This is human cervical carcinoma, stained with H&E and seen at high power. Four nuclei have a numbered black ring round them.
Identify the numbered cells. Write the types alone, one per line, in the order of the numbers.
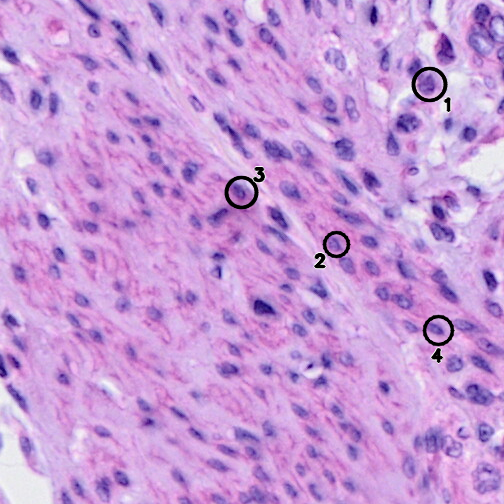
macrophage or monocyte
smooth muscle cell
smooth muscle cell
smooth muscle cell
